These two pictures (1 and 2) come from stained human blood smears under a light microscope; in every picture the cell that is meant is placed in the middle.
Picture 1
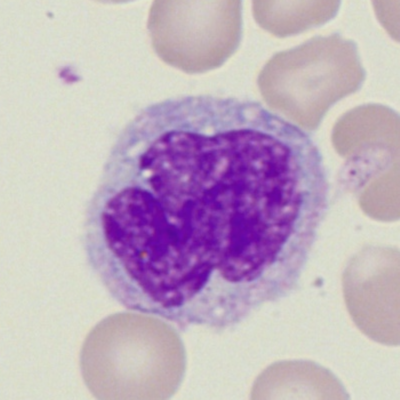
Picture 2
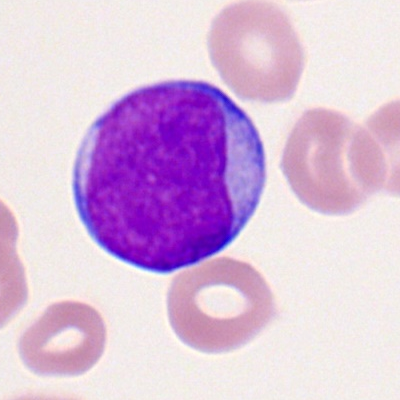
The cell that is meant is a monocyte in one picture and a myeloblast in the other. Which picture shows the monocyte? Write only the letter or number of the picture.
1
